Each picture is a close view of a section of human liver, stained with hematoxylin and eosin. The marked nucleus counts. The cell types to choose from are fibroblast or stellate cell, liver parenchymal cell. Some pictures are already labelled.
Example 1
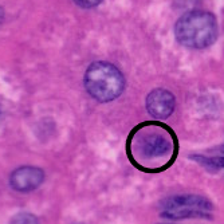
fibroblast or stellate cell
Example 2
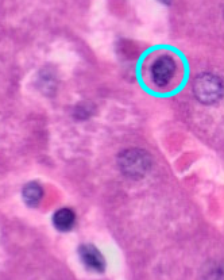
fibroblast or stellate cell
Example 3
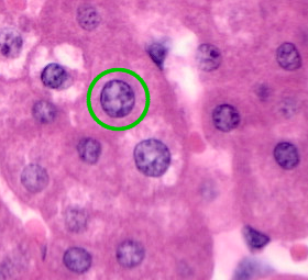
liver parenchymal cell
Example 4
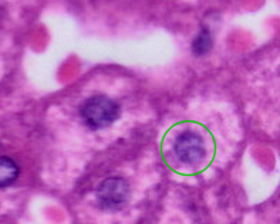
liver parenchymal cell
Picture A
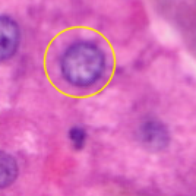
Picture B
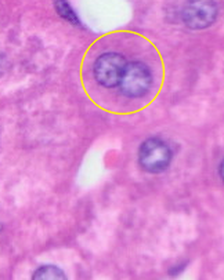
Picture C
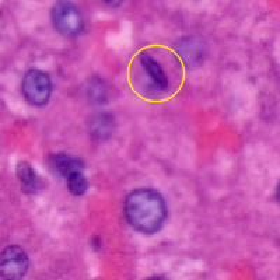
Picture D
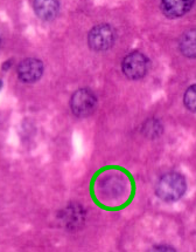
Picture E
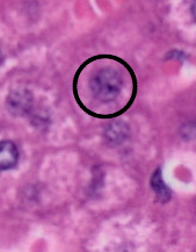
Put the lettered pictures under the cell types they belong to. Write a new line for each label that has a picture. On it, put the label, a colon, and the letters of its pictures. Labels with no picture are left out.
fibroblast or stellate cell: C
liver parenchymal cell: A, B, D, E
